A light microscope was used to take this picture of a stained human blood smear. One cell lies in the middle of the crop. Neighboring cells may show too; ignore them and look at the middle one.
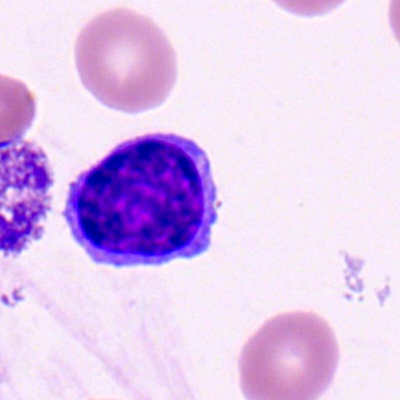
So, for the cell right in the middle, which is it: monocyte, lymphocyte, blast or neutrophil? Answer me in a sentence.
The single cell at the center of the crop is a lymphocyte.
